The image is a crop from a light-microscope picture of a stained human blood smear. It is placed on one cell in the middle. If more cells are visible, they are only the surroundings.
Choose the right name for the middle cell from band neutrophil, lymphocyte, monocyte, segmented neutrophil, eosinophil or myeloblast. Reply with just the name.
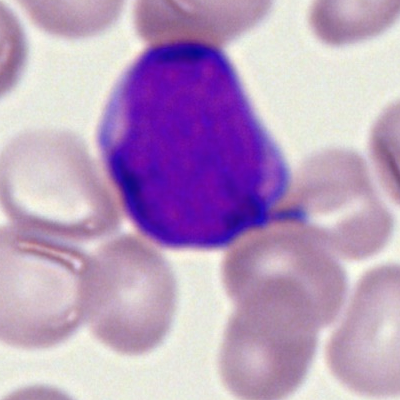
myeloblast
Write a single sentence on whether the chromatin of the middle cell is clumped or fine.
The chromatin is delicate and fine, lacking coarse clumping entirely.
